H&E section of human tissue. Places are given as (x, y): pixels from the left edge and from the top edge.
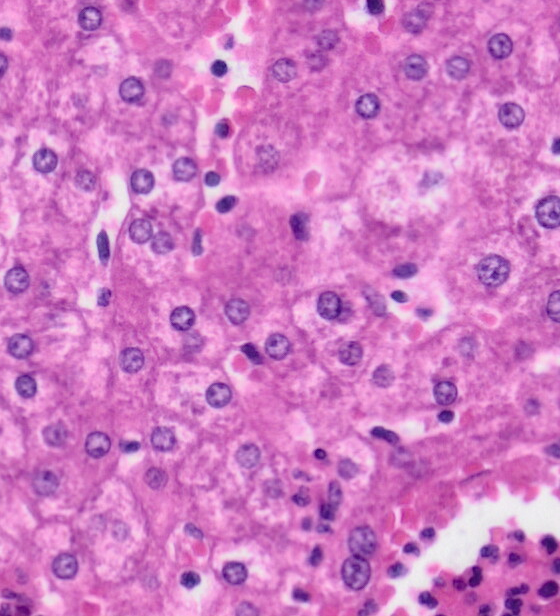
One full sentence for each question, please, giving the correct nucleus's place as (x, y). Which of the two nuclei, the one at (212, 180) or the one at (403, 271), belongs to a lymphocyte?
Between the pair, the nucleus at (212, 180) belongs to a lymphocyte.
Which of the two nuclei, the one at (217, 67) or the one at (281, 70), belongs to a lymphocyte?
Of the two nuclei, the one at (217, 67) belongs to a lymphocyte.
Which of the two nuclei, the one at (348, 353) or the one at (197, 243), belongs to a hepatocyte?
Of these two nuclei, it is the one at (348, 353) that belongs to a hepatocyte.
